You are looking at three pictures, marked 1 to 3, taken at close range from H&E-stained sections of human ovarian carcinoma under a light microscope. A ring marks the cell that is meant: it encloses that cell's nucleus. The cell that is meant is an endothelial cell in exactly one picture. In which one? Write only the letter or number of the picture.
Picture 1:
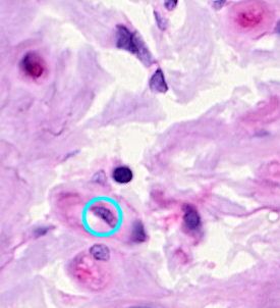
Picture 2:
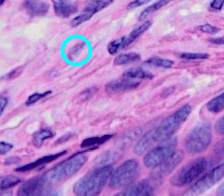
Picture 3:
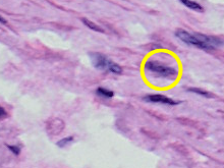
1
